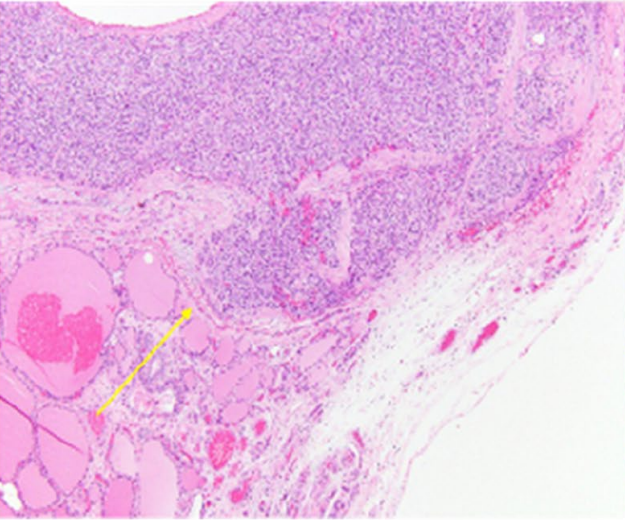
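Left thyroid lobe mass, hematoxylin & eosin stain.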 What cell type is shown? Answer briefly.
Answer: principal cells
